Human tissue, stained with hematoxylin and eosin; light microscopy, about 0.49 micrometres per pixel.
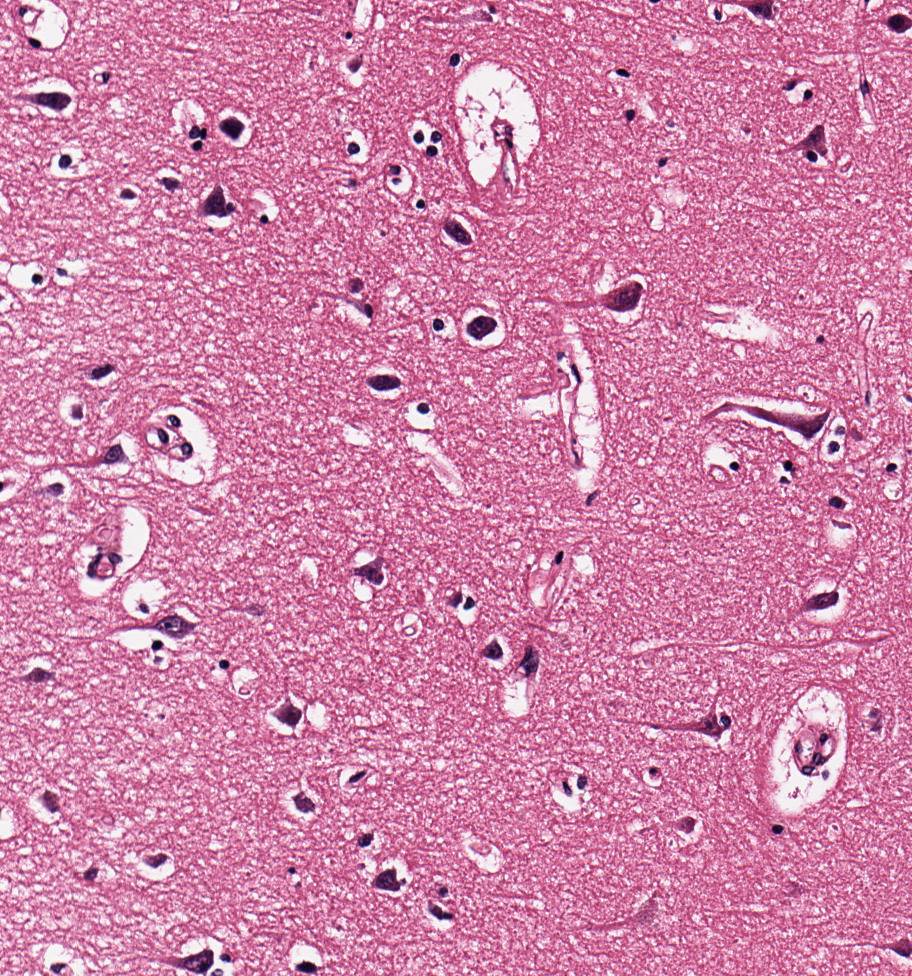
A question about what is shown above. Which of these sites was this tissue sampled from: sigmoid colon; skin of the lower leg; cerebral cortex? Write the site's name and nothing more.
cerebral cortex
